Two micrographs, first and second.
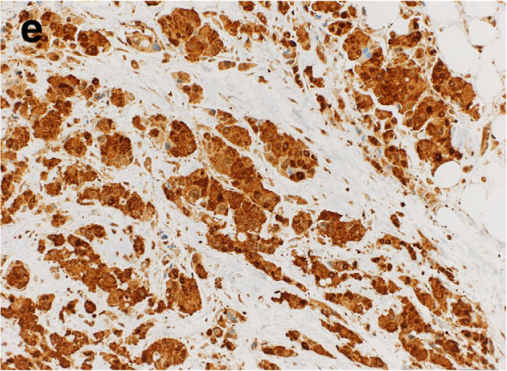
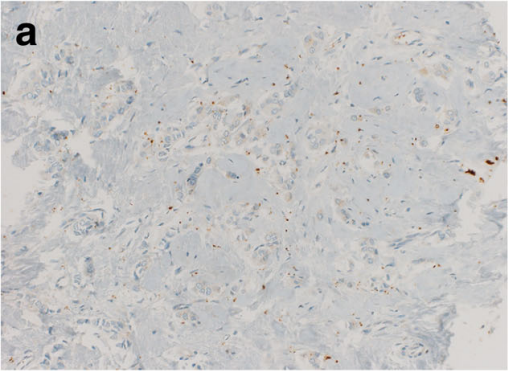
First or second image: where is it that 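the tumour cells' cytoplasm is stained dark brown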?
the first image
